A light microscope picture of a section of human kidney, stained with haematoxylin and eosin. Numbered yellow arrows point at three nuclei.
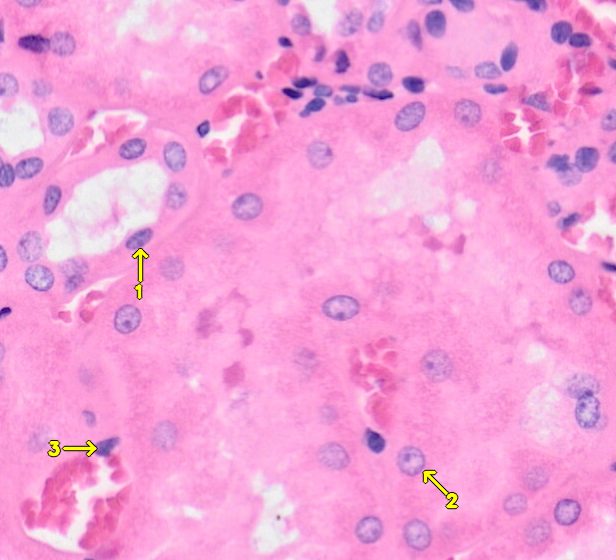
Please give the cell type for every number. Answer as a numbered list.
1. loop of Henle or distal tubule cell
2. proximal tubule cell
3. endothelial cell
